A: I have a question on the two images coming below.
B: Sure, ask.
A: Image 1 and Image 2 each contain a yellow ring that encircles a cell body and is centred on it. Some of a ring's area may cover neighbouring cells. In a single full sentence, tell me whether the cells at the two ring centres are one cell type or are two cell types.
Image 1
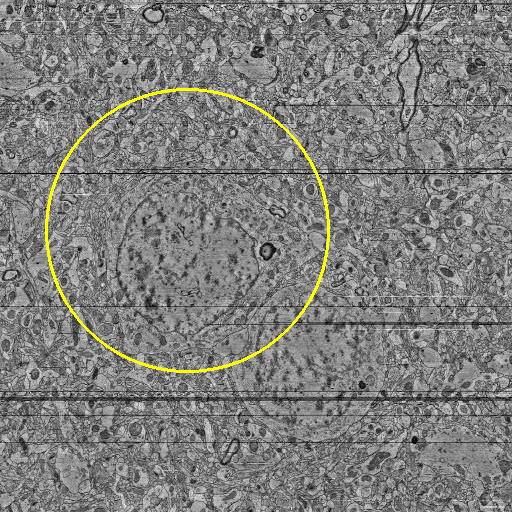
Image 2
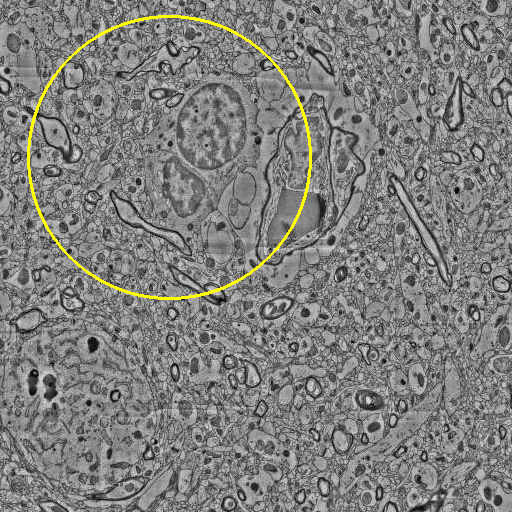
As for the ring-centre cells, the one in Image 1 and the one in Image 2 are two cell types.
